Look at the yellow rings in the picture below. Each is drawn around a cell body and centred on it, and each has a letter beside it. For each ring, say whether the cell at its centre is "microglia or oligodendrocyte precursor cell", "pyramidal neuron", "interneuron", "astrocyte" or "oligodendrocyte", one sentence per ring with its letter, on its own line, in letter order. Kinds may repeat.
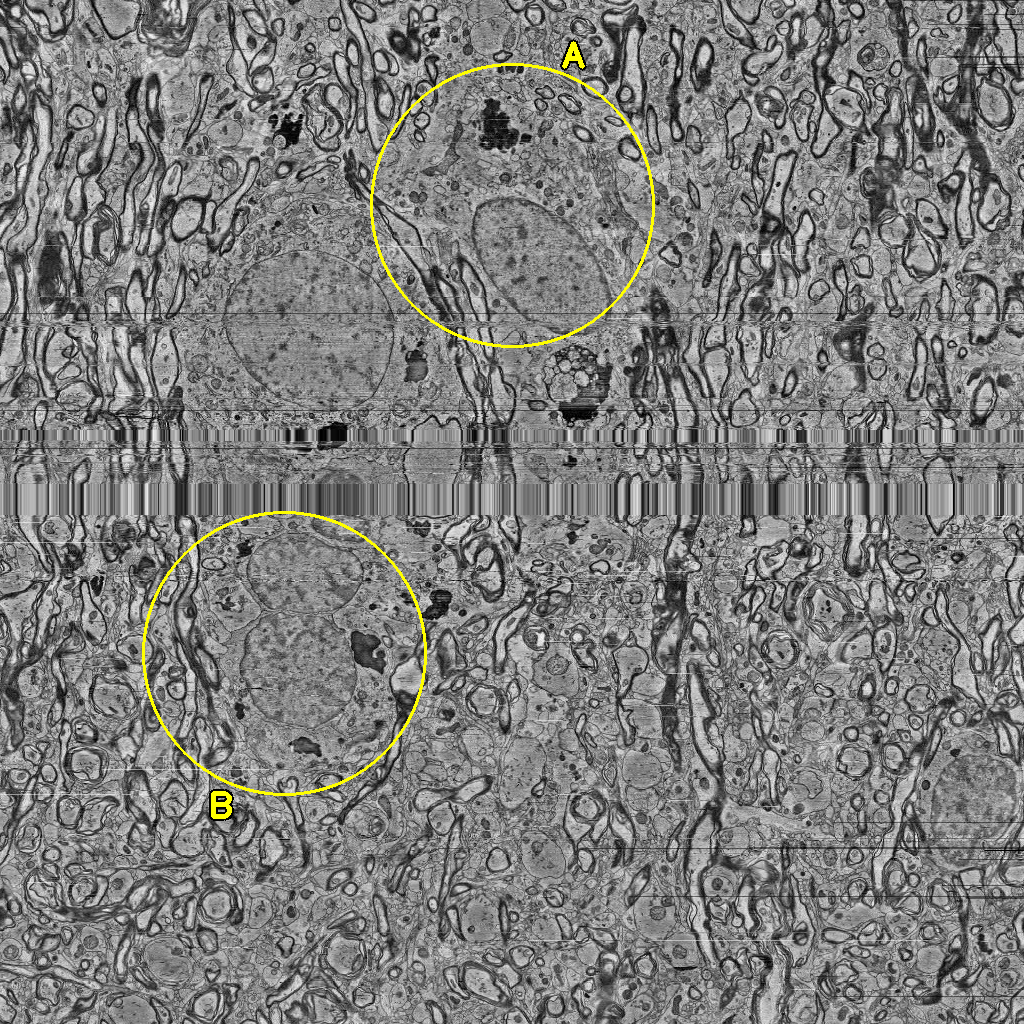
The centred cell of ring A is an astrocyte.
The centred cell of ring B is an oligodendrocyte.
